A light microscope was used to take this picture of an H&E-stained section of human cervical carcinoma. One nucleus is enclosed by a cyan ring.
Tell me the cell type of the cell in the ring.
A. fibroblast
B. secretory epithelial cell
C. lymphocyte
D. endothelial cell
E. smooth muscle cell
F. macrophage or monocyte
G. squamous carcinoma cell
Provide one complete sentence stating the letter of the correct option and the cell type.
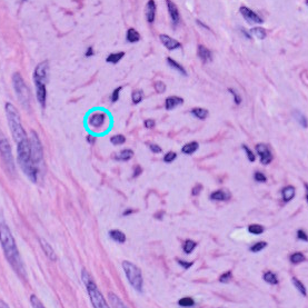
On this slide, the cell in the ring is a smooth muscle cell, so option E is right.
